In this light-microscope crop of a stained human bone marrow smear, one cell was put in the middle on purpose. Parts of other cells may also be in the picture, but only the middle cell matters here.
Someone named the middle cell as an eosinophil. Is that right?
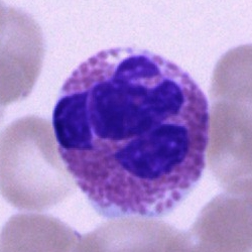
yes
